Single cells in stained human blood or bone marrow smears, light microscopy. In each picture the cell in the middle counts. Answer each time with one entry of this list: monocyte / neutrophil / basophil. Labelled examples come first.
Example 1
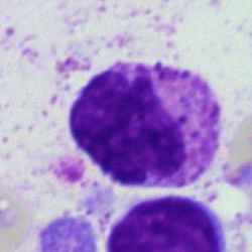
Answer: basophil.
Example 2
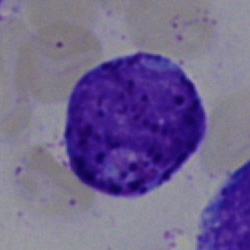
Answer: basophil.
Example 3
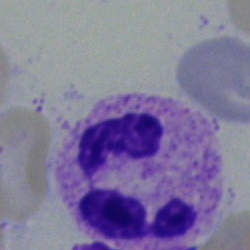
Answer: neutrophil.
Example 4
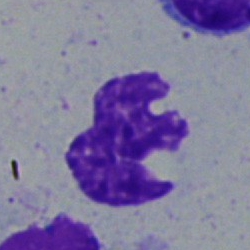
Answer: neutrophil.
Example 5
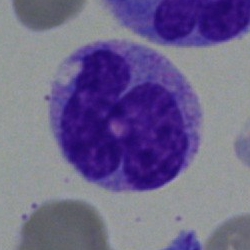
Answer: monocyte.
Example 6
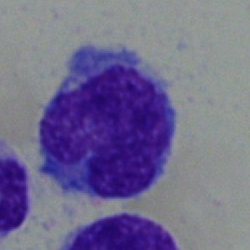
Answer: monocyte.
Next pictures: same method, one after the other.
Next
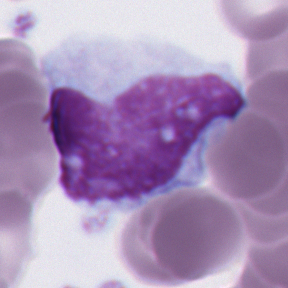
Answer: monocyte.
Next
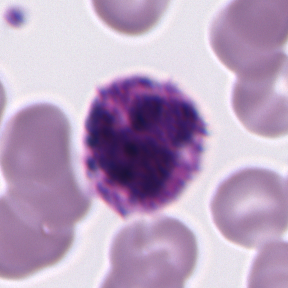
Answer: basophil.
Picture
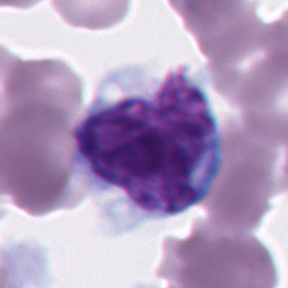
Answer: monocyte.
